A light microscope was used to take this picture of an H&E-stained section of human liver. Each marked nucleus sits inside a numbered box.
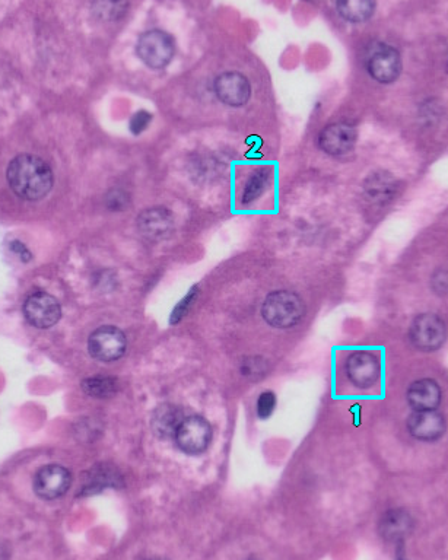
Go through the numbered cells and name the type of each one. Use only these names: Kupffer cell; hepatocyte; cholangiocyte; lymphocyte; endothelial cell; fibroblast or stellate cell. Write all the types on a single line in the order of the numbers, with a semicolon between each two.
hepatocyte; fibroblast or stellate cell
